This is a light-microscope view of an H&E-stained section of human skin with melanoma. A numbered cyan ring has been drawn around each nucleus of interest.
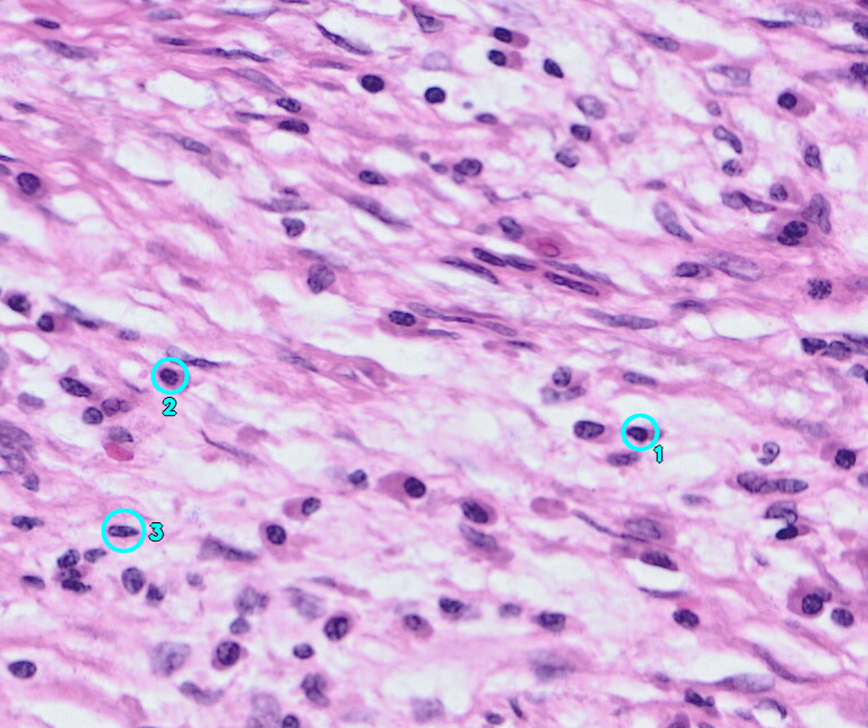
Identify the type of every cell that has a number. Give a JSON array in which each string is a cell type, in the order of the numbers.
["plasma cell", "plasma cell", "lymphocyte"]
